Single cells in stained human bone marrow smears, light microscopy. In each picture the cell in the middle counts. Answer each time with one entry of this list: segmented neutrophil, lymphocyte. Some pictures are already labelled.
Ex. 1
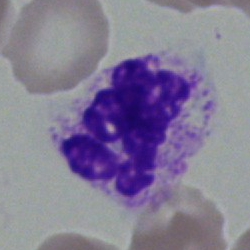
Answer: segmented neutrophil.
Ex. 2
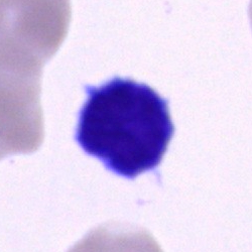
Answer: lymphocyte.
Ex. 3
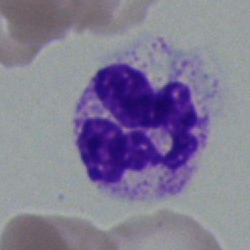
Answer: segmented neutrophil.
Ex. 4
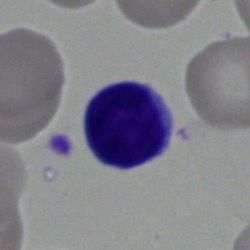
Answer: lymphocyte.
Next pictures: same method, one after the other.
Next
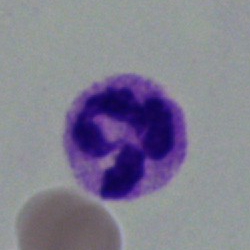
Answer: segmented neutrophil.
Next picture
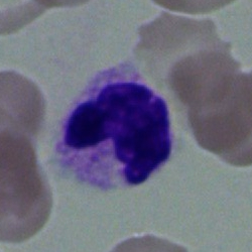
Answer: segmented neutrophil.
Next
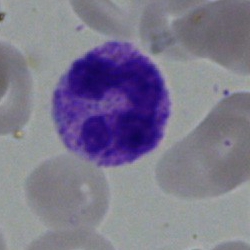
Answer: segmented neutrophil.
